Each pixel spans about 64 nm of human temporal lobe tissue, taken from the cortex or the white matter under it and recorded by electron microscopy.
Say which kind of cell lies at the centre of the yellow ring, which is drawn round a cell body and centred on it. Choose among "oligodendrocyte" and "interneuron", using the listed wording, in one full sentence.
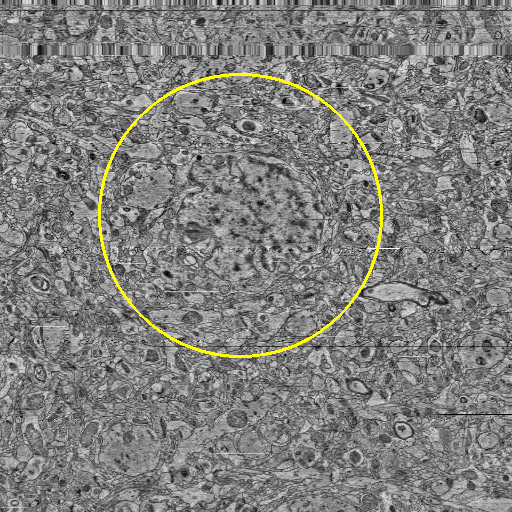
Going by the list, the cell at the yellow ring's centre is an interneuron.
